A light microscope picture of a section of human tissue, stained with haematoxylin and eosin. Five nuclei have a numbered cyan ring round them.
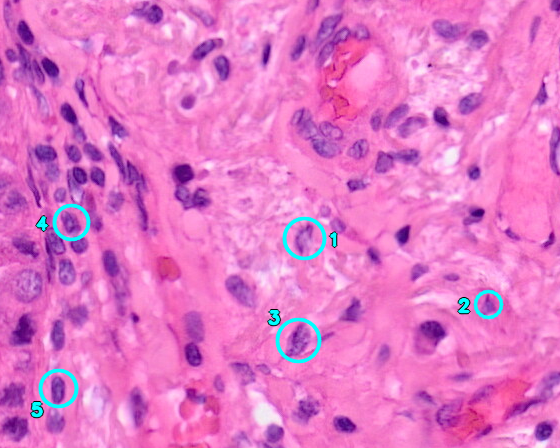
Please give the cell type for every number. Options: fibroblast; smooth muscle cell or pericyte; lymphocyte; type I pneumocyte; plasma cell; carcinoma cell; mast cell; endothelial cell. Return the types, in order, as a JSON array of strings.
["fibroblast", "smooth muscle cell or pericyte", "fibroblast", "lymphocyte", "lymphocyte"]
